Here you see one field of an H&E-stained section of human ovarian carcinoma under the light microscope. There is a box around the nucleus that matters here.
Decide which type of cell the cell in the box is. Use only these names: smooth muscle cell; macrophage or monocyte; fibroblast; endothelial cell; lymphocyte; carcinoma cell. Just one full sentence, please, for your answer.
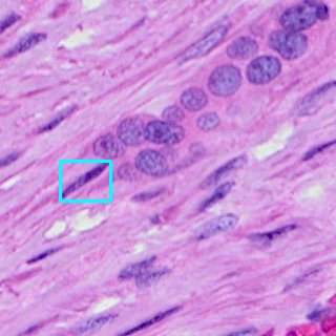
For cell typing purposes, the cell in the box is a fibroblast.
